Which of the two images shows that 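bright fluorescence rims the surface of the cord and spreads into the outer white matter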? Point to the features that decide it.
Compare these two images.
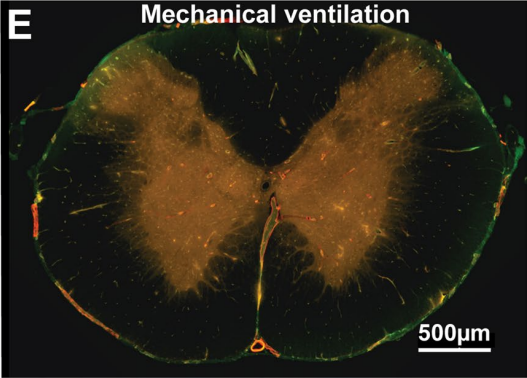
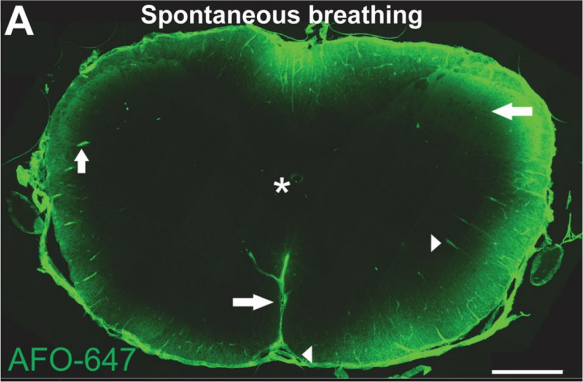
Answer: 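The second image. First image: the green rim at the cord surface is thin and faint, with vessels still outlined. Second image: a broad bright green band runs around the whole circumference and fades inward.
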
